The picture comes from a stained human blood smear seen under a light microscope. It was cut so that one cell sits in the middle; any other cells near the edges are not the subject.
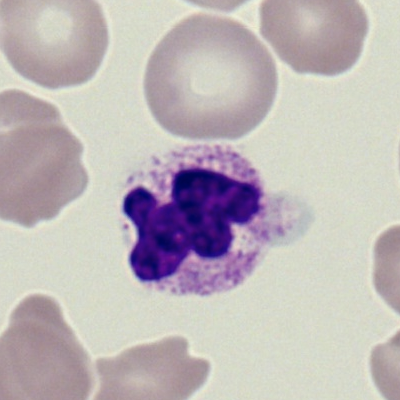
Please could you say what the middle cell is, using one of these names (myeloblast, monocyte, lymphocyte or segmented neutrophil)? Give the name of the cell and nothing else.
segmented neutrophil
